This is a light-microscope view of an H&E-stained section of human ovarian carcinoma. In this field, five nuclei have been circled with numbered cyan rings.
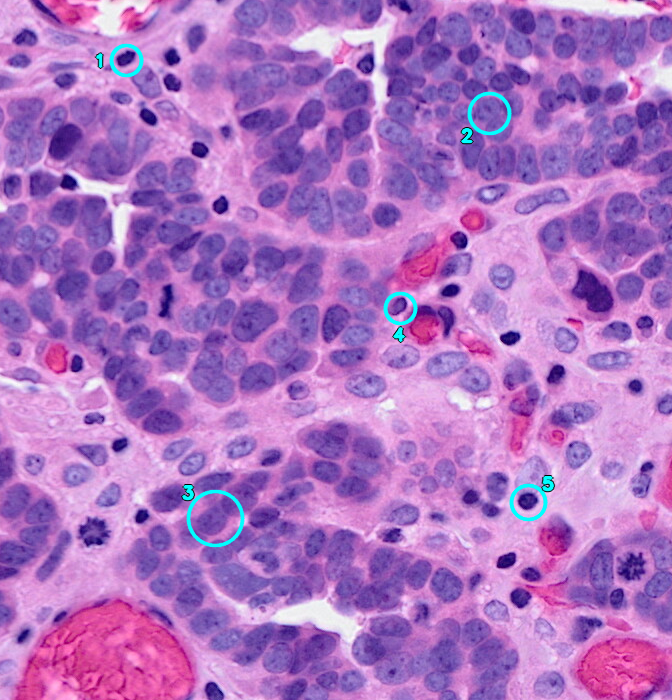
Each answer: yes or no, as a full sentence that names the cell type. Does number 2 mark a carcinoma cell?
Yes, the cell denoted by 2 is a carcinoma cell.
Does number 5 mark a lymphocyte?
Yes, regarding cell number 5, it is a lymphocyte.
